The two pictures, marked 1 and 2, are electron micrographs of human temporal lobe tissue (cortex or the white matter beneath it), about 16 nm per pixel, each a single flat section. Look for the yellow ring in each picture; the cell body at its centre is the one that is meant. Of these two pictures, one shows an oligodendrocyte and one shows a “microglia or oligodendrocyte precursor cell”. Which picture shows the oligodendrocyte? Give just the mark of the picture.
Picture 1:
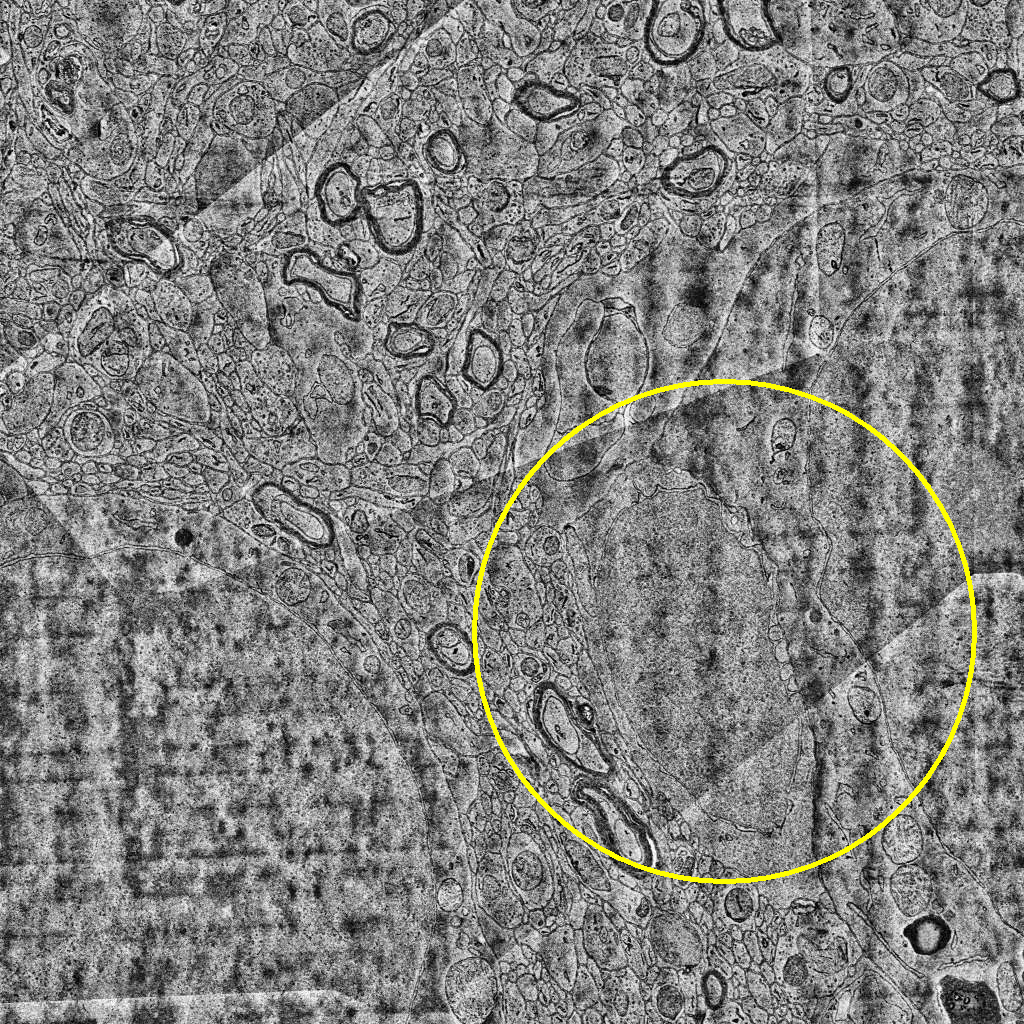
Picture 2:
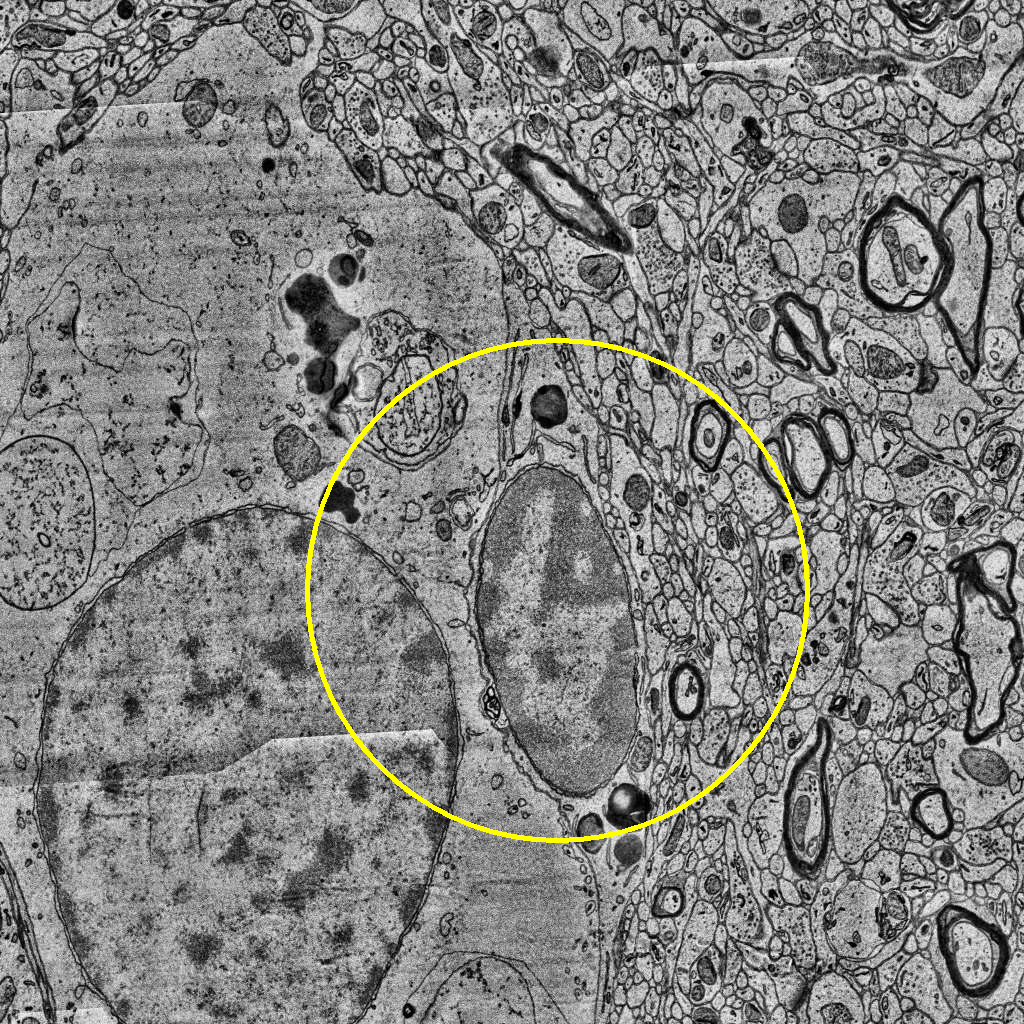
1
